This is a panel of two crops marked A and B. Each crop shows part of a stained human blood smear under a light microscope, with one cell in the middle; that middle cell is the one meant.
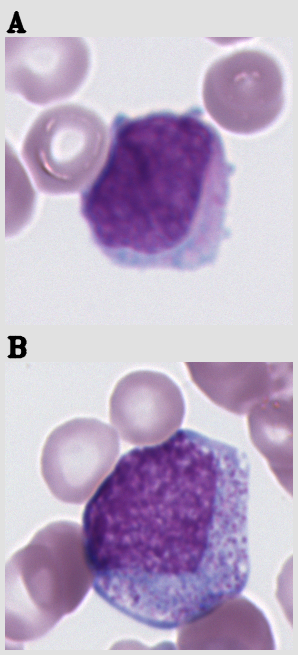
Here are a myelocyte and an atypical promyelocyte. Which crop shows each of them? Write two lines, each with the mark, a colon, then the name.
A: atypical promyelocyte
B: myelocyte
